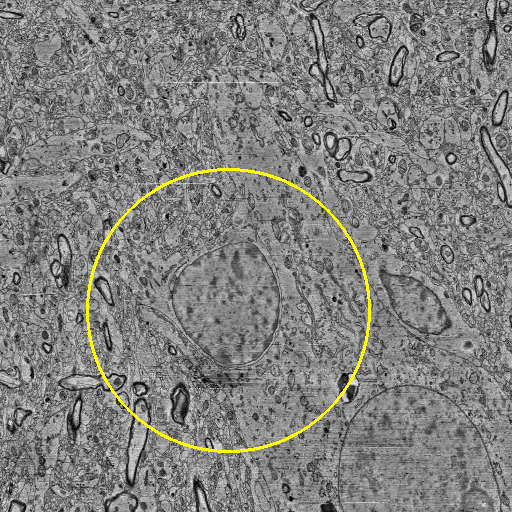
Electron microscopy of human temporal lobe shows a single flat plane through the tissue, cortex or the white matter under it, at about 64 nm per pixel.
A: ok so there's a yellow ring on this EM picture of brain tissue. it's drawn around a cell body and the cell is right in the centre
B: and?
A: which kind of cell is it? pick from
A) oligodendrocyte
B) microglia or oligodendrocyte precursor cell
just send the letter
B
